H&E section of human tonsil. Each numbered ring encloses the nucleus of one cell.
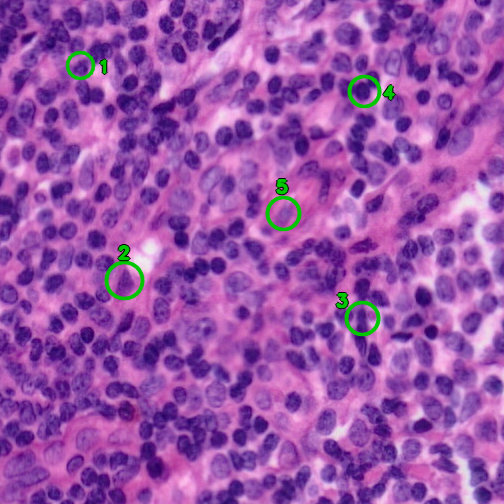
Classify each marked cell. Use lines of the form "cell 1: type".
cell 1: small lymphocyte
cell 2: endothelial cell
cell 3: small lymphocyte
cell 4: small lymphocyte
cell 5: endothelial cell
